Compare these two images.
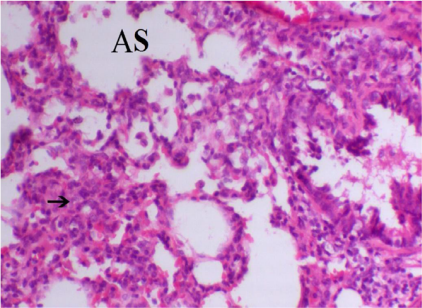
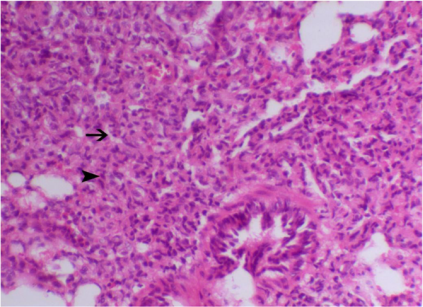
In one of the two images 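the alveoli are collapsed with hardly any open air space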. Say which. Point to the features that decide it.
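First image: several large open air spaces are present between cellular walls.
The second image.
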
